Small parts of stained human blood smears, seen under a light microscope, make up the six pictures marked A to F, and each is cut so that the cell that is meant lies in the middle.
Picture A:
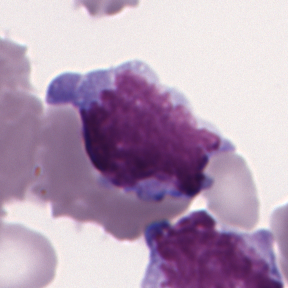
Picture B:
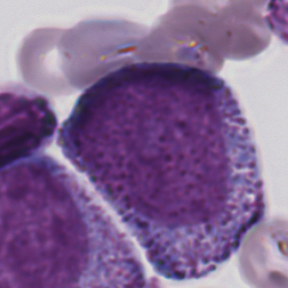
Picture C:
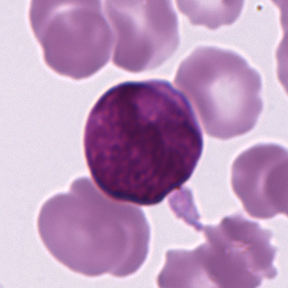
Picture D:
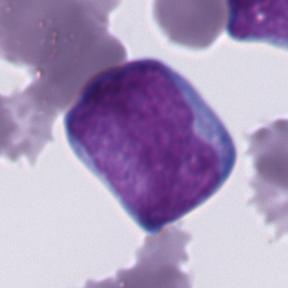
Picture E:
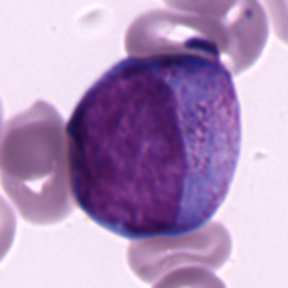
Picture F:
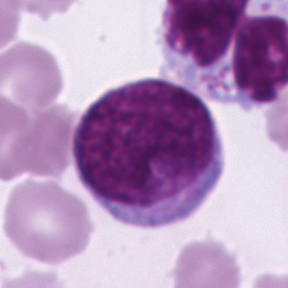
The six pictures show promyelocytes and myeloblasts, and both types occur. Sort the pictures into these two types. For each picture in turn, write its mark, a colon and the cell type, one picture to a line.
A: myeloblast
B: promyelocyte
C: myeloblast
D: myeloblast
E: promyelocyte
F: myeloblast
